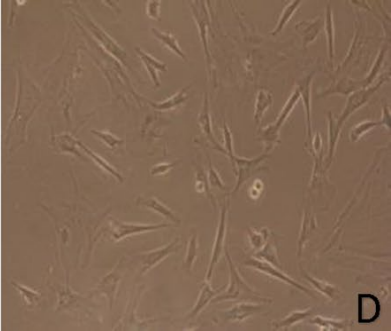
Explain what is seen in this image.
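These are cultured cells with a fibroblast-like form, seen unstained. Most are elongated and spindle-shaped, tapering into thin processes at both ends. They lie sparsely, in various directions, with much empty space between them. A few small rounded, bright cells sit among the flat spindle cells.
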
